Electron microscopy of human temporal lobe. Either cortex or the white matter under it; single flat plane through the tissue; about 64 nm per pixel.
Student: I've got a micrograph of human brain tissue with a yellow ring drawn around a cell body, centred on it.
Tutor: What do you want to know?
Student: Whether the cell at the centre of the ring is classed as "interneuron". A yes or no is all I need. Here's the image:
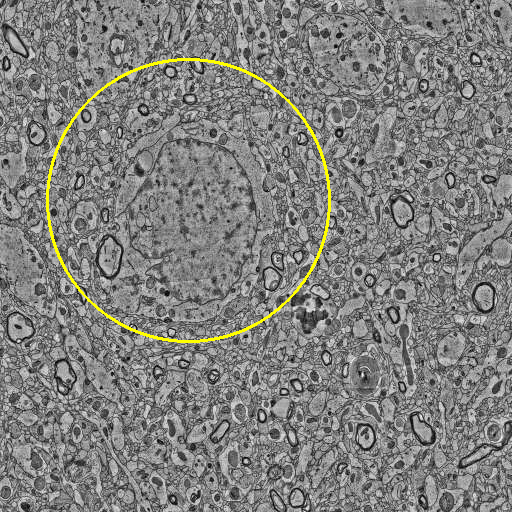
yes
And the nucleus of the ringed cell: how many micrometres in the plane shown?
The nucleus comes to roughly 11 by 8 micrometres in this plane.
